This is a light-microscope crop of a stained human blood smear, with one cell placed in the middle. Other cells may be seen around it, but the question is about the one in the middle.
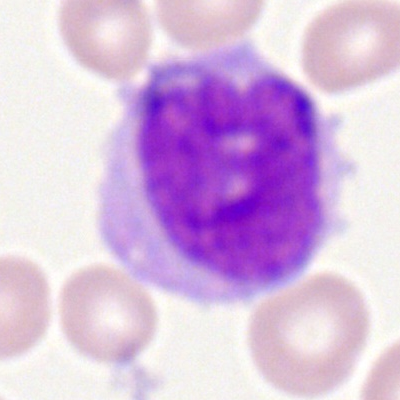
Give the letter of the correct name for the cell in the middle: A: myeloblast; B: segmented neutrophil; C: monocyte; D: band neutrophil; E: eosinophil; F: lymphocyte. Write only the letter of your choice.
C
